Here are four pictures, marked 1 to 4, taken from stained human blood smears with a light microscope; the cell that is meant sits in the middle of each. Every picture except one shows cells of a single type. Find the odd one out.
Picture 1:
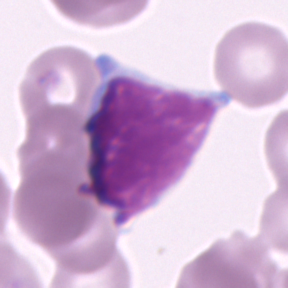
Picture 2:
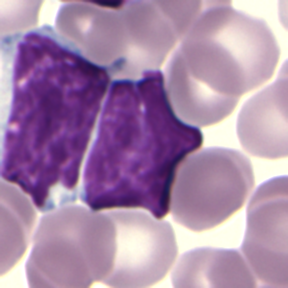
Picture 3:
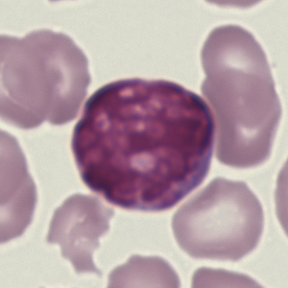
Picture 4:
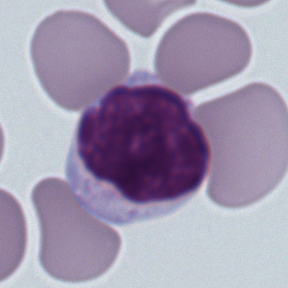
3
